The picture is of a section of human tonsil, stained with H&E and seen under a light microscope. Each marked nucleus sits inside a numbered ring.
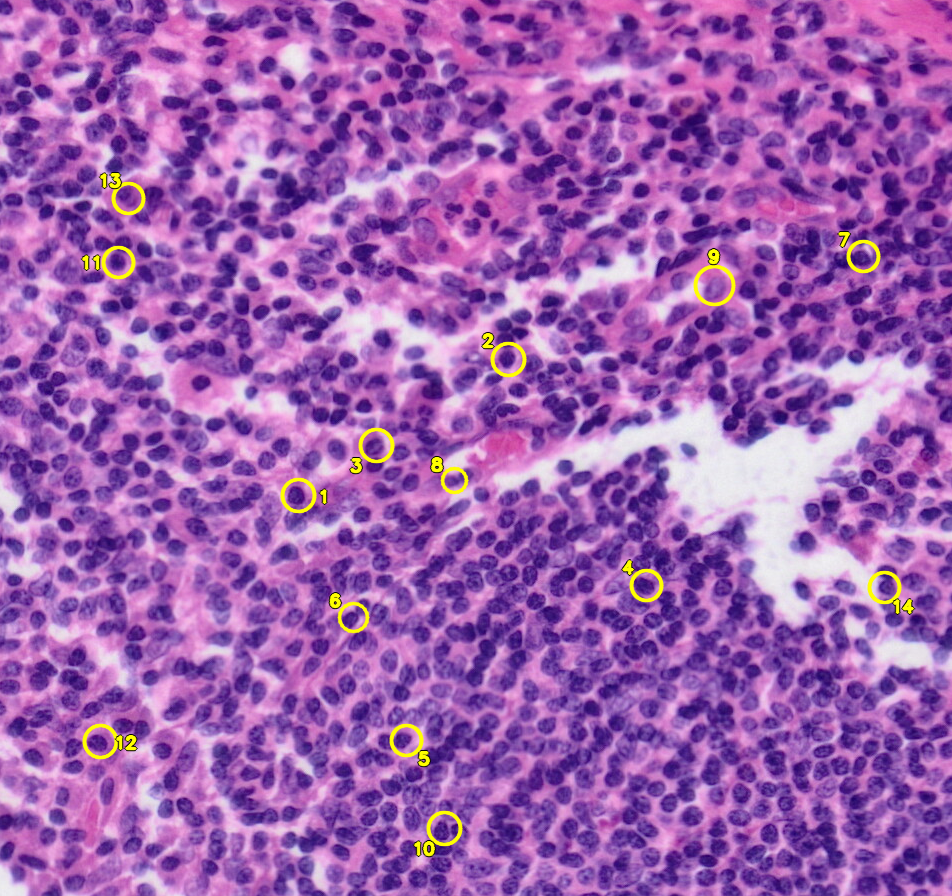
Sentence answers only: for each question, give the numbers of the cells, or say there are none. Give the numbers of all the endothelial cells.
The cells shown with numbers 8 and 9 are endothelial cells.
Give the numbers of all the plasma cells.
The cells that have been numbered 1, 3, 12 and 13 are plasma cells.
